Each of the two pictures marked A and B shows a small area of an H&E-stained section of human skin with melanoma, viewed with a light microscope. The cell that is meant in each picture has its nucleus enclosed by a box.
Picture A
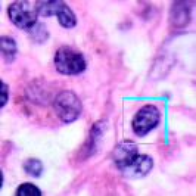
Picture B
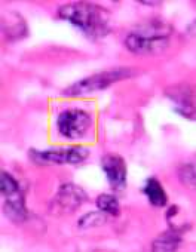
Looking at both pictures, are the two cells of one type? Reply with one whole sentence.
Yes, both cells are lymphocytes.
